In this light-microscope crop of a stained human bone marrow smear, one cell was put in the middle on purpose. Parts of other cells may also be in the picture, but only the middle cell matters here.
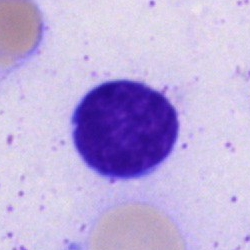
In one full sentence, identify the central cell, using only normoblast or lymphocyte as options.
What the crop centres on is a lymphocyte.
